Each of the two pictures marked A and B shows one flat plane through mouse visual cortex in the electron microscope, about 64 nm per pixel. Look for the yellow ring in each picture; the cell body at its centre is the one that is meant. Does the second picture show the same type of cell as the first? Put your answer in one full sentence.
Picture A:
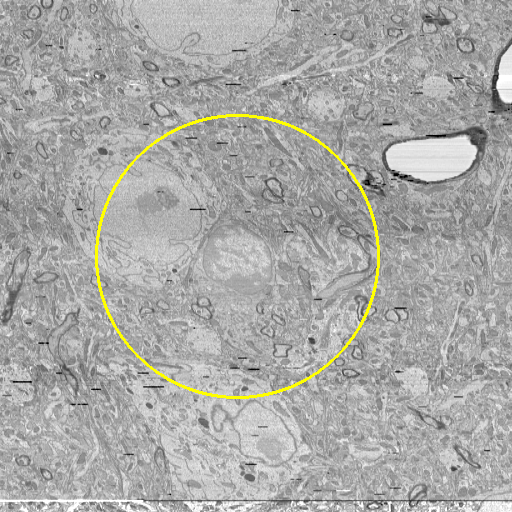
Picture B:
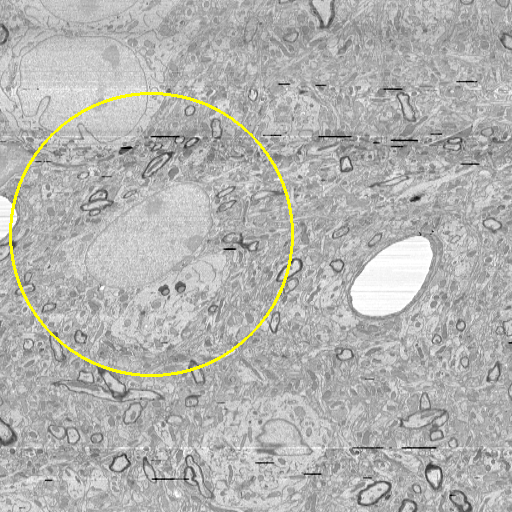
No. Picture A shows an oligodendrocyte, but picture B shows an astrocyte.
